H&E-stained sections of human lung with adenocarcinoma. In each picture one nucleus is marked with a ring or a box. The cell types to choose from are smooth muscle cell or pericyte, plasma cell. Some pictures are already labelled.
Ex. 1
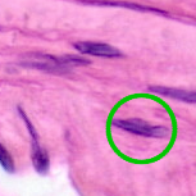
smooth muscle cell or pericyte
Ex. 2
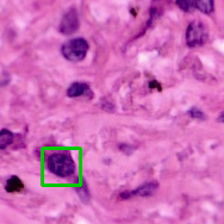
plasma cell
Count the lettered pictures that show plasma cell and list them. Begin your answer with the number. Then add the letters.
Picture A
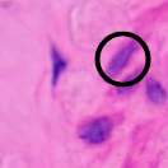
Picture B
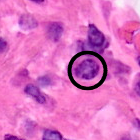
Count: 1 (B)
